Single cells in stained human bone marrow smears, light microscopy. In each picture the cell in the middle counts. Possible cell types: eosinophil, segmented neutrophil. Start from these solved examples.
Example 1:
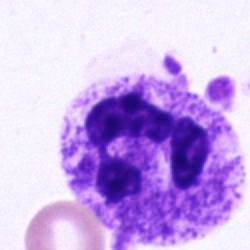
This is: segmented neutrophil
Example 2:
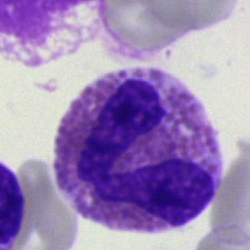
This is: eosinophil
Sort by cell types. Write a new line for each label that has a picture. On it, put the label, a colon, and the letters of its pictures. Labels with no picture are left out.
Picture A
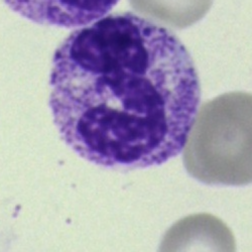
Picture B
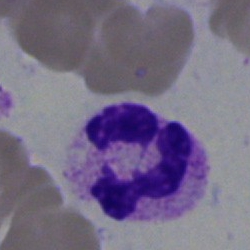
segmented neutrophil: A, B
